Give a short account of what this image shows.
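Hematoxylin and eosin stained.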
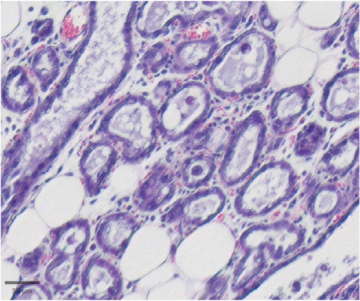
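Mammary gland with rounded to elongated glandular alveoli and ducts in a stroma, with fat cells at the left edge. The alveoli are lined by a single layer of epithelial cells with dark purple nuclei; many lumens are wide and hold pale grey-pink material. Between the alveoli lies pink connective tissue with scattered spindle-shaped nuclei. Toward the top a vessel contains red blood cells. Along the left side lie large clear fat cells and a broad elongated space with pale pink content.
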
